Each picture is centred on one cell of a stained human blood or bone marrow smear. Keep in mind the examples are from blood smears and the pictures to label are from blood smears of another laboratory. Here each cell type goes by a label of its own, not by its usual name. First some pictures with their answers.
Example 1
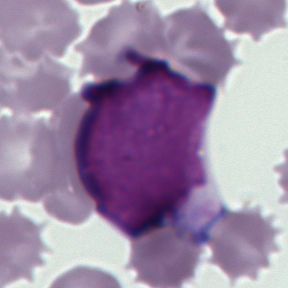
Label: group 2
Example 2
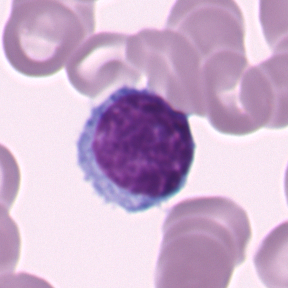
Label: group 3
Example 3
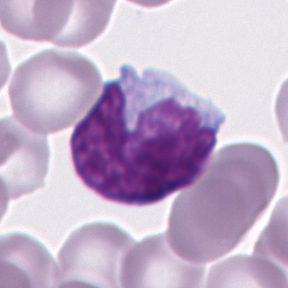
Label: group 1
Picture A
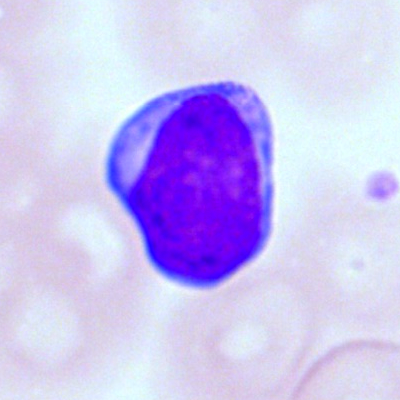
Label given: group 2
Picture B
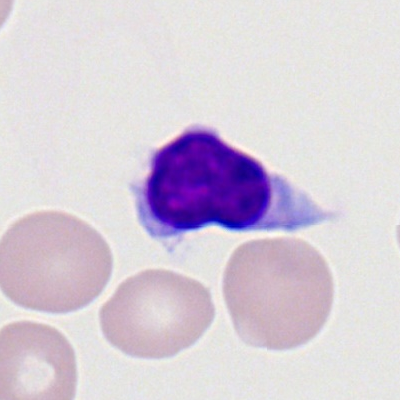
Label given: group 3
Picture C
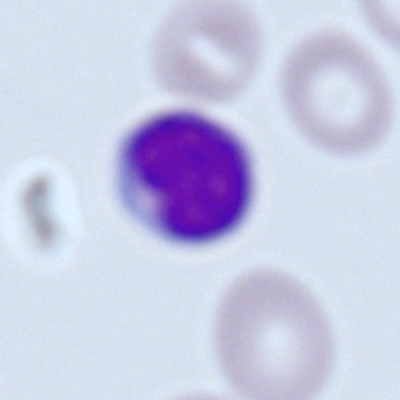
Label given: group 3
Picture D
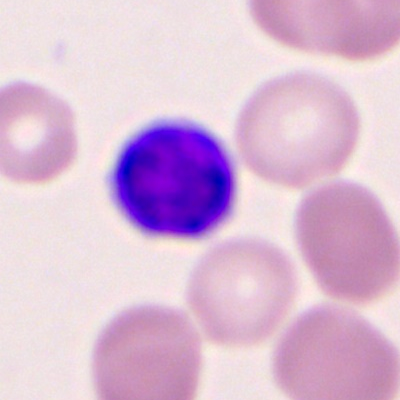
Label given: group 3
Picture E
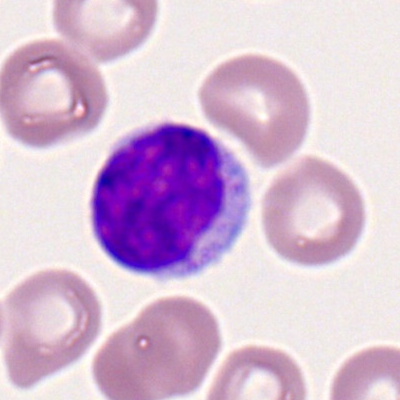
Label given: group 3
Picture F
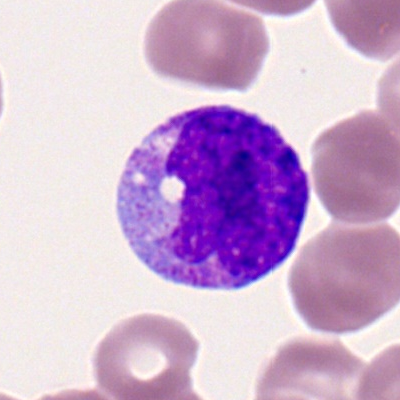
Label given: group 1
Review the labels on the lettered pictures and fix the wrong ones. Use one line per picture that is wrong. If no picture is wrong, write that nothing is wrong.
Every label is right.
